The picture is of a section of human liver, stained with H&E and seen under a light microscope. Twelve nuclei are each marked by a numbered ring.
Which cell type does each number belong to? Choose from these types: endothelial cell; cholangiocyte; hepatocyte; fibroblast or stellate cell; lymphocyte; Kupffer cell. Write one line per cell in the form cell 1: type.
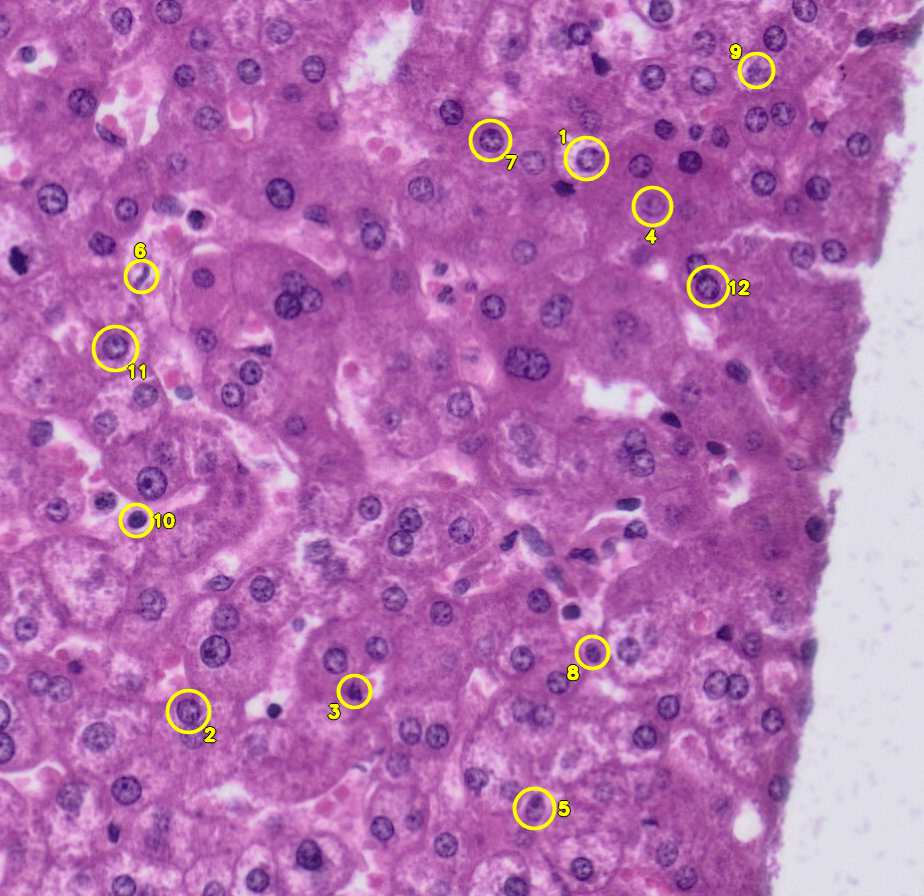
cell 1: hepatocyte
cell 2: hepatocyte
cell 3: fibroblast or stellate cell
cell 4: hepatocyte
cell 5: Kupffer cell
cell 6: endothelial cell
cell 7: hepatocyte
cell 8: lymphocyte
cell 9: hepatocyte
cell 10: lymphocyte
cell 11: hepatocyte
cell 12: hepatocyte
